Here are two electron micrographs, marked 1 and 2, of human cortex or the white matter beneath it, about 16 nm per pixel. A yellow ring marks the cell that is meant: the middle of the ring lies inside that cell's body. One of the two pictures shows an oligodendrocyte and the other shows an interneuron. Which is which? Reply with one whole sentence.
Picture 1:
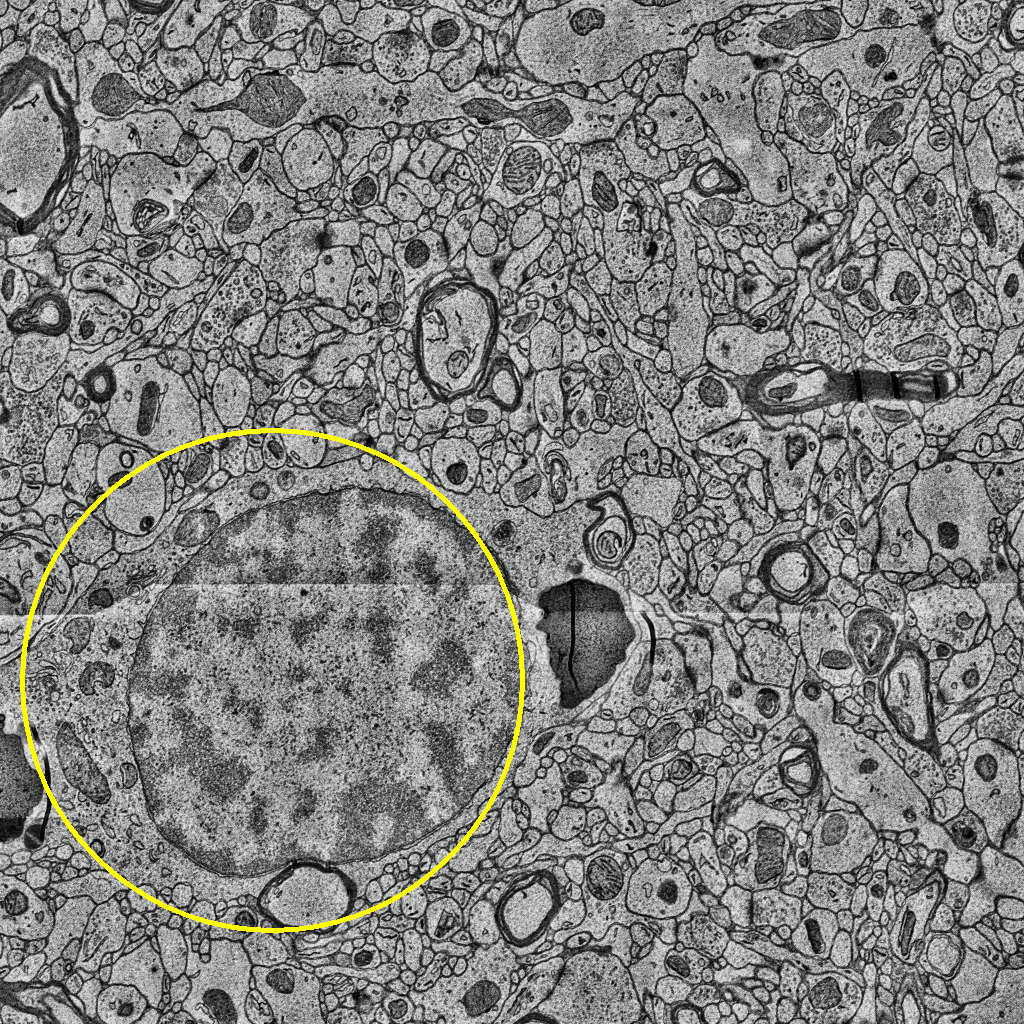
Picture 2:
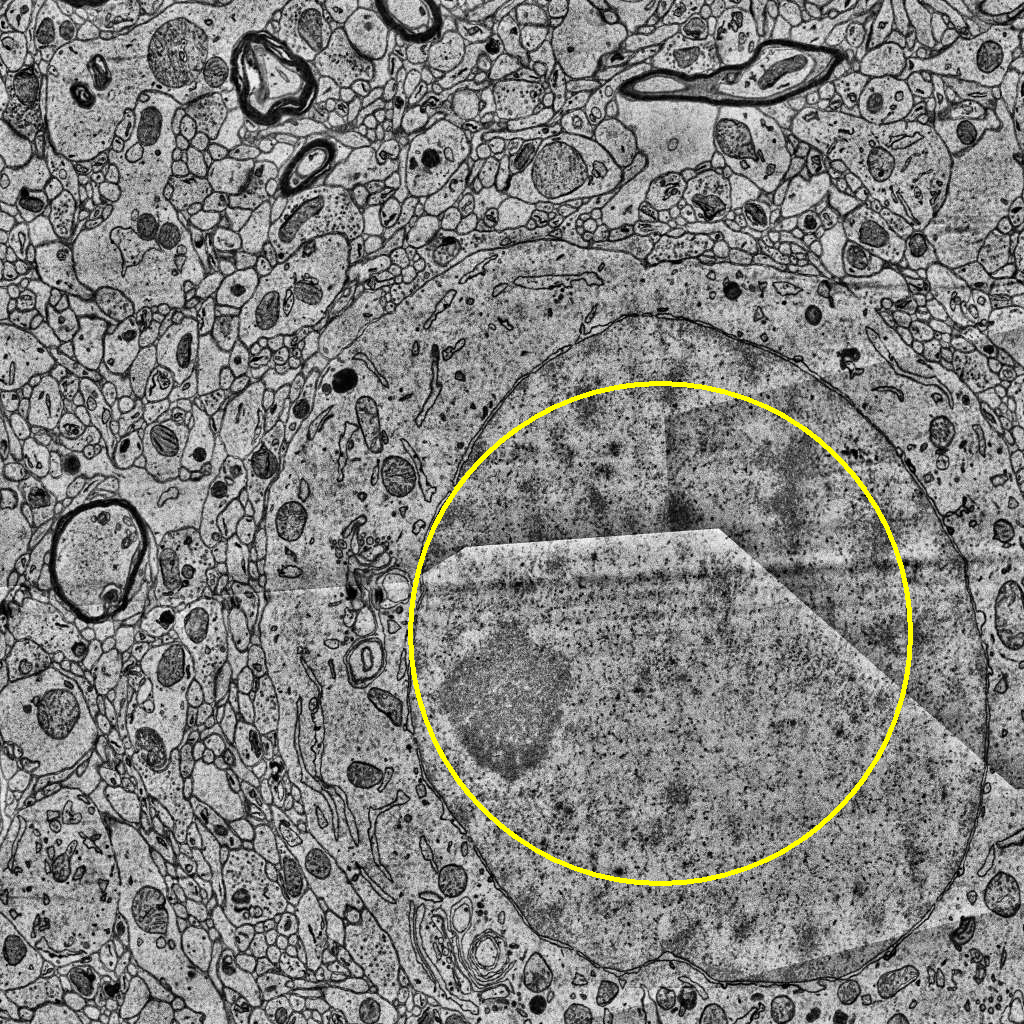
It is picture 1 that shows an oligodendrocyte, and picture 2 that shows an interneuron.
